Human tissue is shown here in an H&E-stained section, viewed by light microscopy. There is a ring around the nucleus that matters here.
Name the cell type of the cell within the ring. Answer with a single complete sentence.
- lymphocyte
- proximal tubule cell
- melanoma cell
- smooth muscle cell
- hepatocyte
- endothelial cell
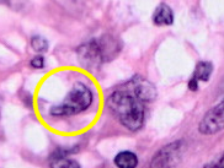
In the tissue at hand, the cell within the ring is a melanoma cell.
